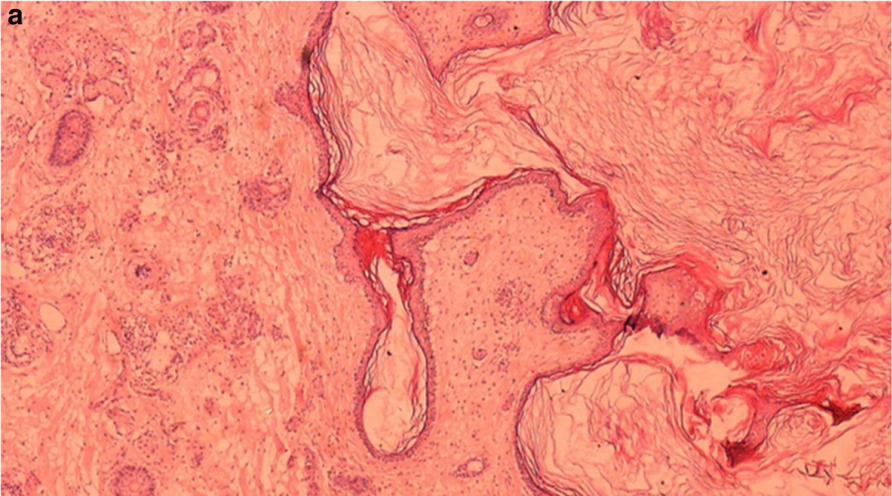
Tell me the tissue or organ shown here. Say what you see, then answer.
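A multilayered epithelial band lines irregular cavities. The lining layer faces lumens filled with pale pink flaky material. On this evidence: keratinized stratified squamous epithelium.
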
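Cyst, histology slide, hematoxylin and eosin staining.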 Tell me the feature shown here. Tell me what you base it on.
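Keratin material. The cavities are filled with loose, wavy, laminated pale pink material. The material lies on the inner side of the epithelial lining.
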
